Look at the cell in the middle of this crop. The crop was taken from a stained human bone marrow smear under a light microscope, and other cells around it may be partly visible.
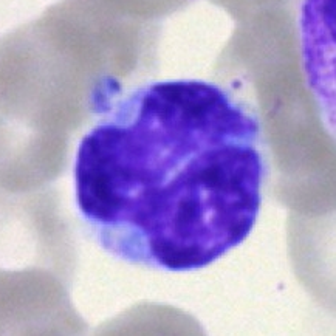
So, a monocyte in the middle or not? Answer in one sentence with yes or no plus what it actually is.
Yes, the cell at the middle is a monocyte.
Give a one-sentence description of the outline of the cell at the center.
The cell membrane follows an uneven contour, either ragged or bearing projections.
